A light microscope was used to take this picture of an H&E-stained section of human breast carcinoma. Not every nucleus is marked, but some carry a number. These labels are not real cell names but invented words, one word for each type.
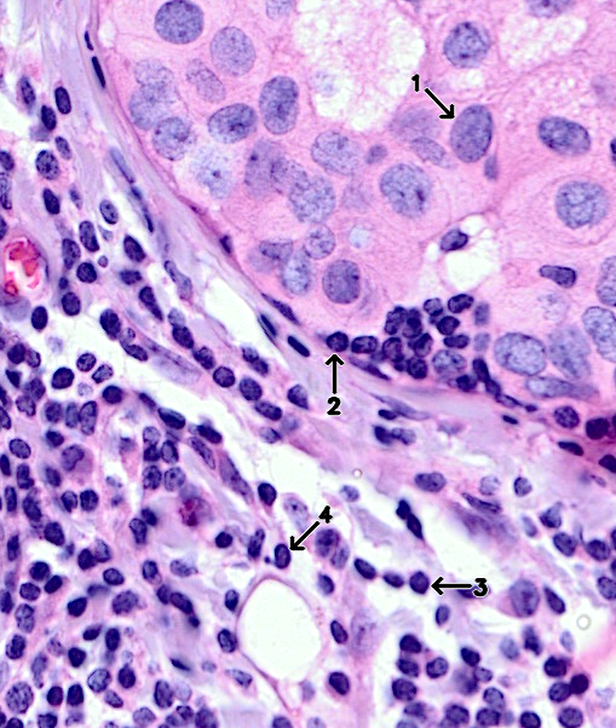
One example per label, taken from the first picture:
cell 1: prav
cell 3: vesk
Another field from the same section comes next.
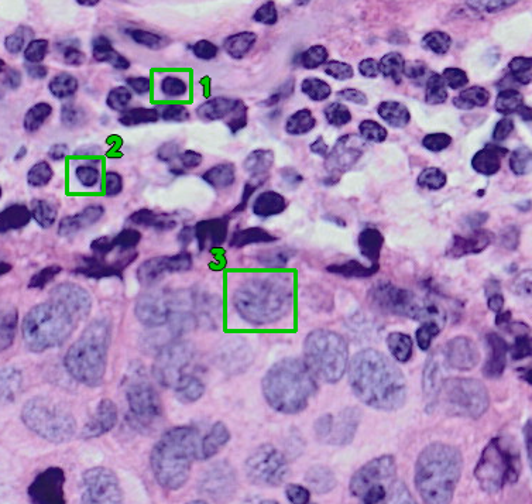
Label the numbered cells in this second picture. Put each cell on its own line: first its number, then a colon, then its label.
1: vesk
2: vesk
3: prav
